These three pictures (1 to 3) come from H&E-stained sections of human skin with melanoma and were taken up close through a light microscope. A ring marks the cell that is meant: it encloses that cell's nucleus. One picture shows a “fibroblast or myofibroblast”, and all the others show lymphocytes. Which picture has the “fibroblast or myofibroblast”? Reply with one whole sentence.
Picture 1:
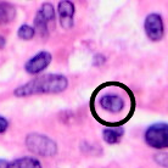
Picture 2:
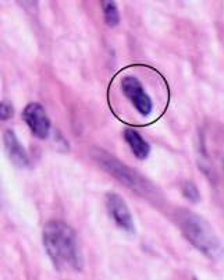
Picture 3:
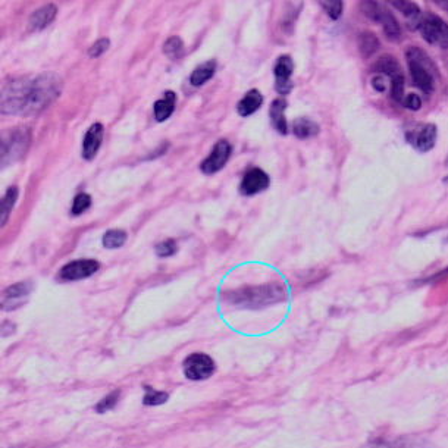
The “fibroblast or myofibroblast” is the one in picture 3.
